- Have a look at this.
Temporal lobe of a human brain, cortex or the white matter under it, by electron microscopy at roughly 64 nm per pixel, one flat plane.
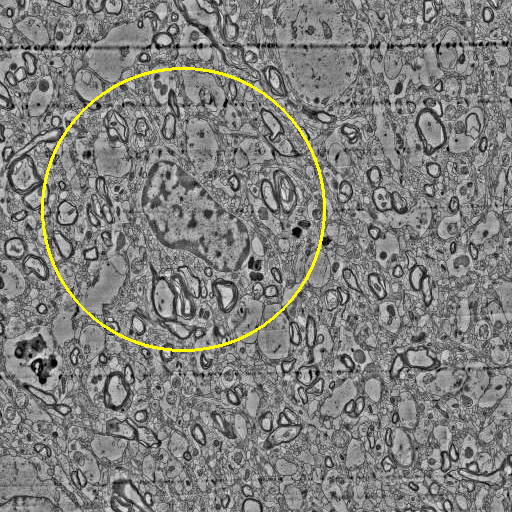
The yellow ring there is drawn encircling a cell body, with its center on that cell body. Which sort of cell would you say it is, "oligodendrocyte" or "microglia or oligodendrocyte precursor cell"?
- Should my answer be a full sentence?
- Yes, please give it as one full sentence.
For this picture, a microglial cell or oligodendrocyte precursor cell is the cell where the yellow ring has its center.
